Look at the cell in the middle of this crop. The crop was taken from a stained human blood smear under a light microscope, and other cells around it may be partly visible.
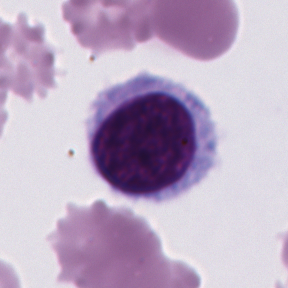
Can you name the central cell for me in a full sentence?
On this slide crop, the central cell is a hairy cell.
